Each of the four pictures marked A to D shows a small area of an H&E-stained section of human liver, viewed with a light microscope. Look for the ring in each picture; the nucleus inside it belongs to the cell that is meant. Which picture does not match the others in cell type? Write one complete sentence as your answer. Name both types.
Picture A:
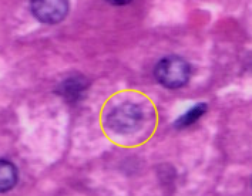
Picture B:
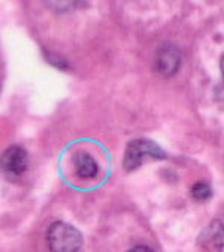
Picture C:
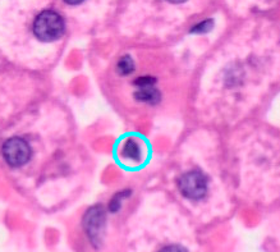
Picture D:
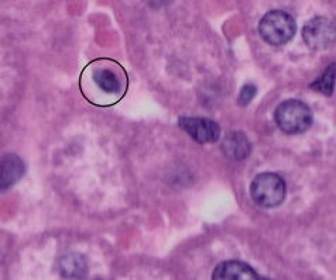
Unlike the rest, which show lymphocytes, picture A shows a hepatocyte.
